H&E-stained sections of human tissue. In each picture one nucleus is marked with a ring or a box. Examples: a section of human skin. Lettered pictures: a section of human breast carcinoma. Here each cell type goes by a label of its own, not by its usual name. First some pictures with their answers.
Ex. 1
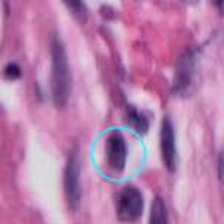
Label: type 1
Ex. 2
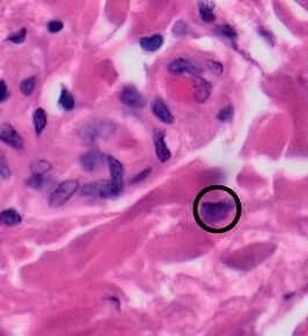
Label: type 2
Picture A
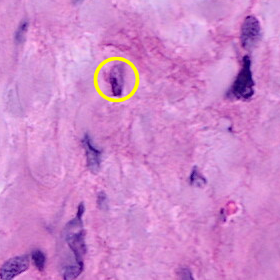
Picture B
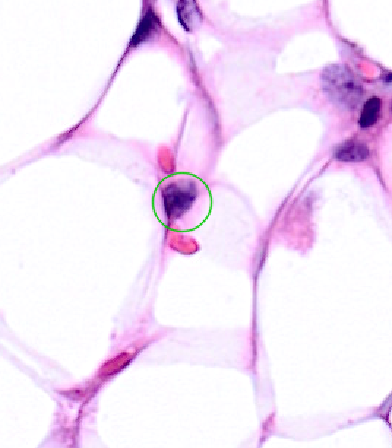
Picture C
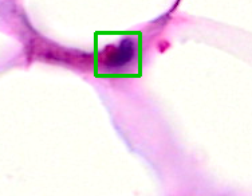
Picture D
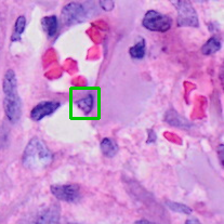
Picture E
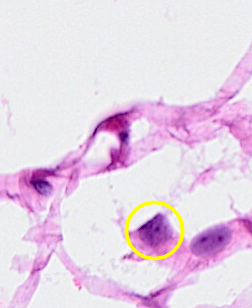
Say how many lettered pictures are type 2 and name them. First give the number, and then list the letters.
1, namely A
